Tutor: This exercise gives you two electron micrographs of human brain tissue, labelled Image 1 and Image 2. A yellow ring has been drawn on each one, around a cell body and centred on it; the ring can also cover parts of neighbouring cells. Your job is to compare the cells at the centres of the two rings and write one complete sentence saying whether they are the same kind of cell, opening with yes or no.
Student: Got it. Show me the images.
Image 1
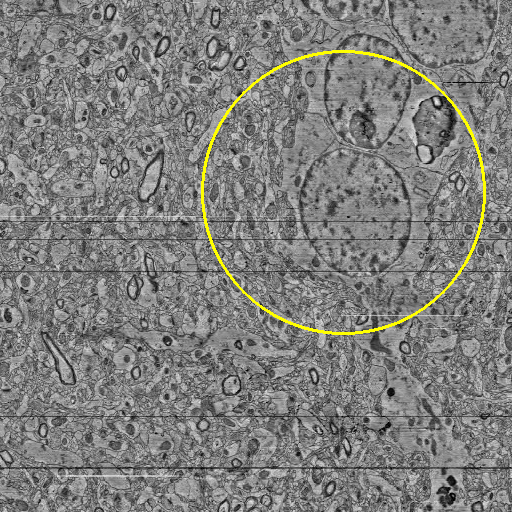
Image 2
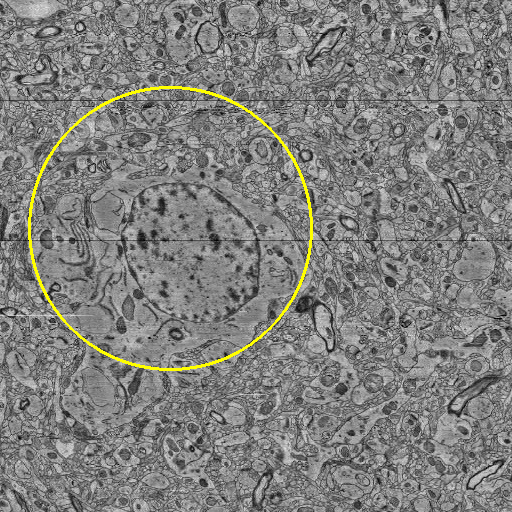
Yes, the two cells belong to the same kind.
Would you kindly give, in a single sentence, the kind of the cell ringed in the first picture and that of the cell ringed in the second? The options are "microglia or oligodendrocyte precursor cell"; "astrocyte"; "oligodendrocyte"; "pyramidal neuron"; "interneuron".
The ring centre holds an astrocyte in each of the two pictures.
